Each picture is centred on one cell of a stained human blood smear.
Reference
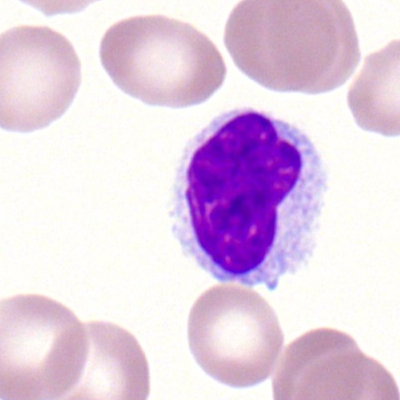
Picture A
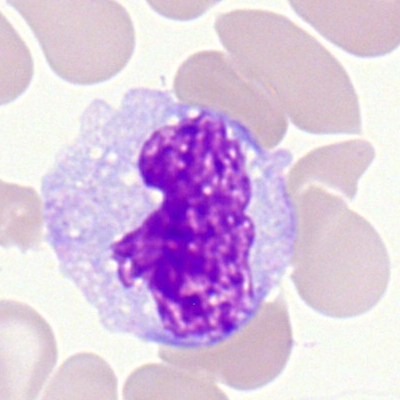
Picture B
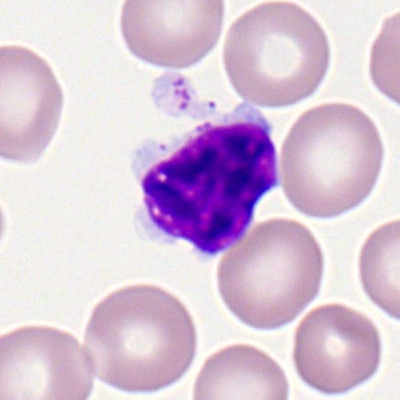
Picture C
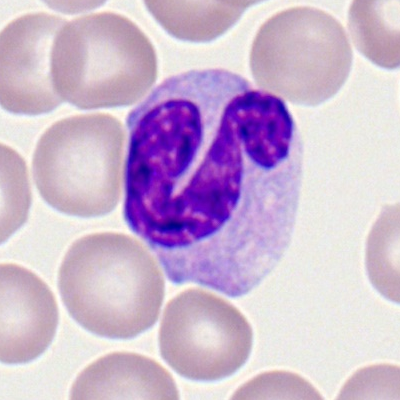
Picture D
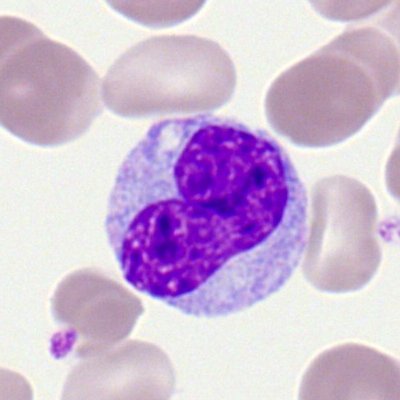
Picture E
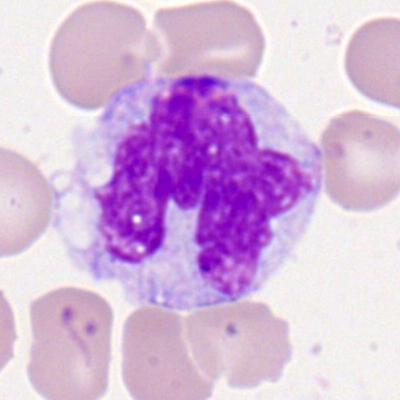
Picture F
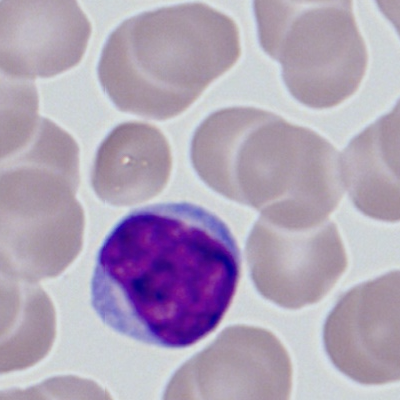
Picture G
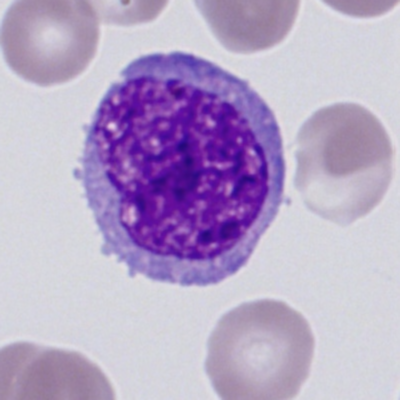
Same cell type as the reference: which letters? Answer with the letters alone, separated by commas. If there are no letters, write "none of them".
B, F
